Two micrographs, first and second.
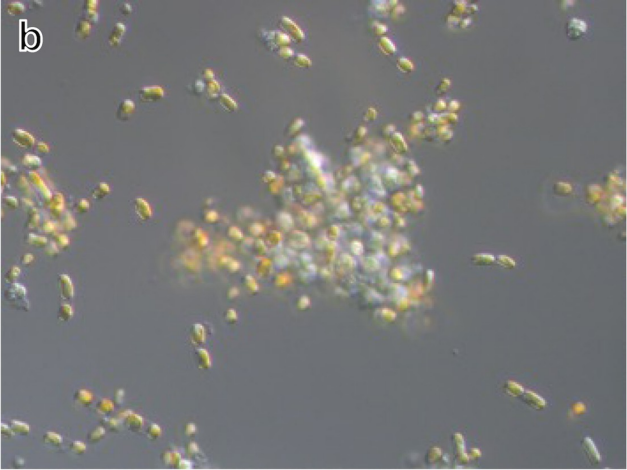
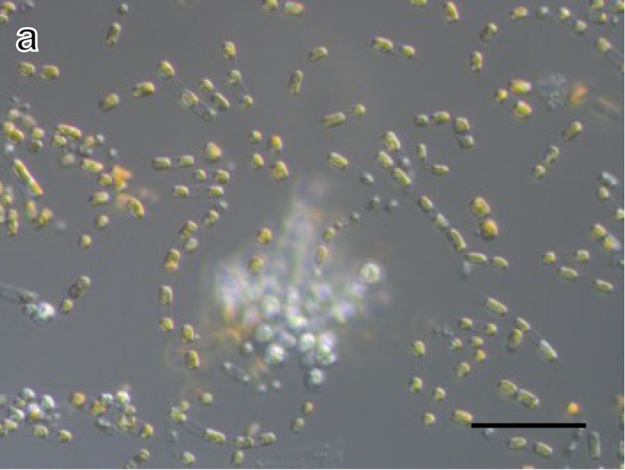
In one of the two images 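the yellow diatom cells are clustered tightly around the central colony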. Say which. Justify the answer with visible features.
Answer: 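The first image. Second image: yellow cylindrical cells and short chains are spread evenly across the field, apart from the pale colony.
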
